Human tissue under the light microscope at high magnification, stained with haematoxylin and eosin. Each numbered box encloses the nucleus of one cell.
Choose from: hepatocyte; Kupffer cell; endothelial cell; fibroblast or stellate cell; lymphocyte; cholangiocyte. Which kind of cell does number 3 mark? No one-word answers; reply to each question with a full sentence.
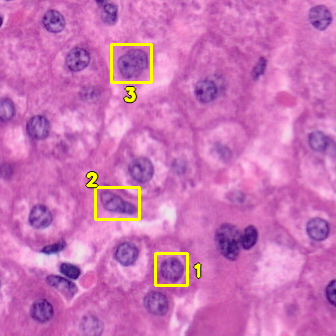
Of the numbered cells, the one labelled 3 is a Kupffer cell.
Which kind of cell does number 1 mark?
Recognised here as a hepatocyte is the cell numbered 1.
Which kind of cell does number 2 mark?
To a Kupffer cell belongs the nucleus marked 2.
